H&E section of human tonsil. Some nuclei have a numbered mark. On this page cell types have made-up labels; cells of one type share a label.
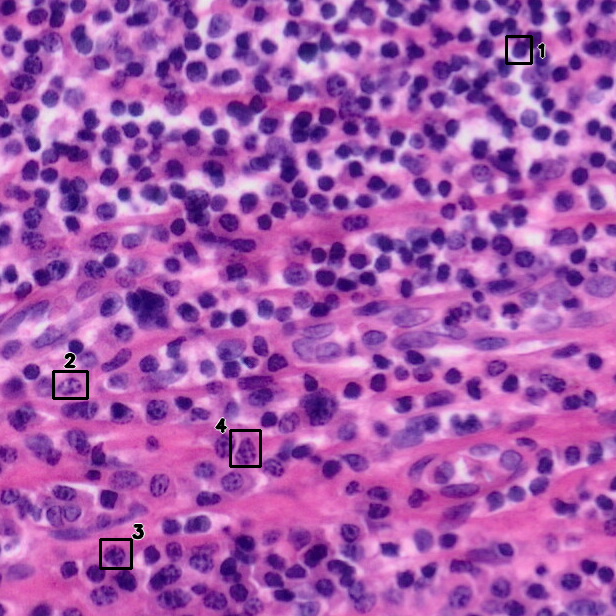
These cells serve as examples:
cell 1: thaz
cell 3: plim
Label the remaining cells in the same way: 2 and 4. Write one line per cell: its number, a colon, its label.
2: plim
4: plim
